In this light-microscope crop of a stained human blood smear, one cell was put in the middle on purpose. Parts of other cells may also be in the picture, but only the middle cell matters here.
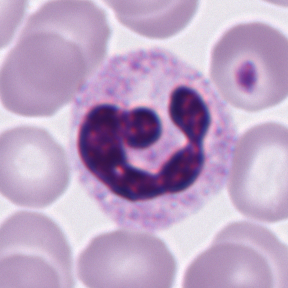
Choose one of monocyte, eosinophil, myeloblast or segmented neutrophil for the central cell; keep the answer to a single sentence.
Seen at the centre of the crop is a segmented neutrophil.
